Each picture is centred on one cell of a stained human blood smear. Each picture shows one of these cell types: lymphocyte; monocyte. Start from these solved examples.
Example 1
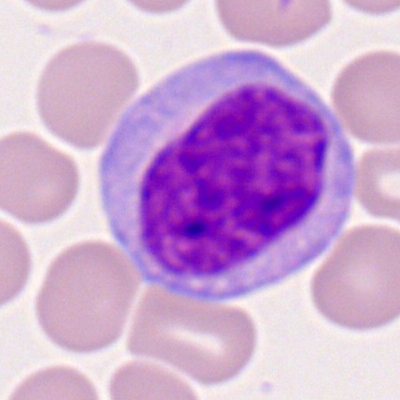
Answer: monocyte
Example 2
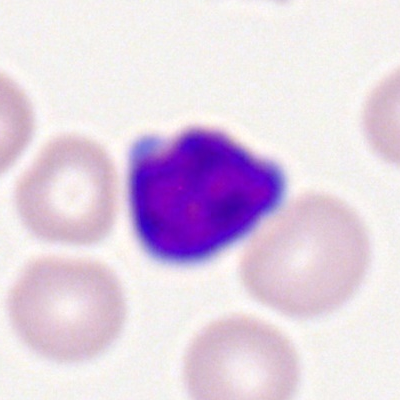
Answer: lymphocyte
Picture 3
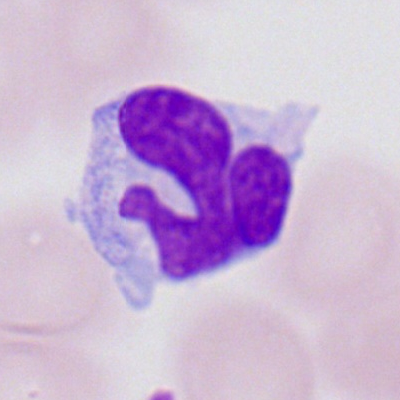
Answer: monocyte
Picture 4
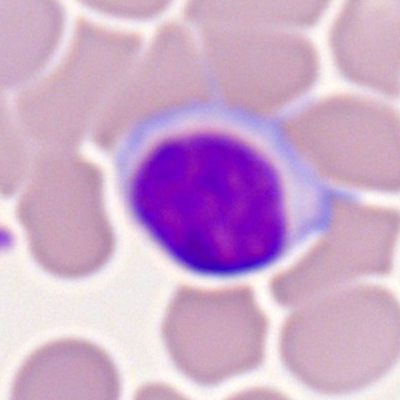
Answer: lymphocyte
